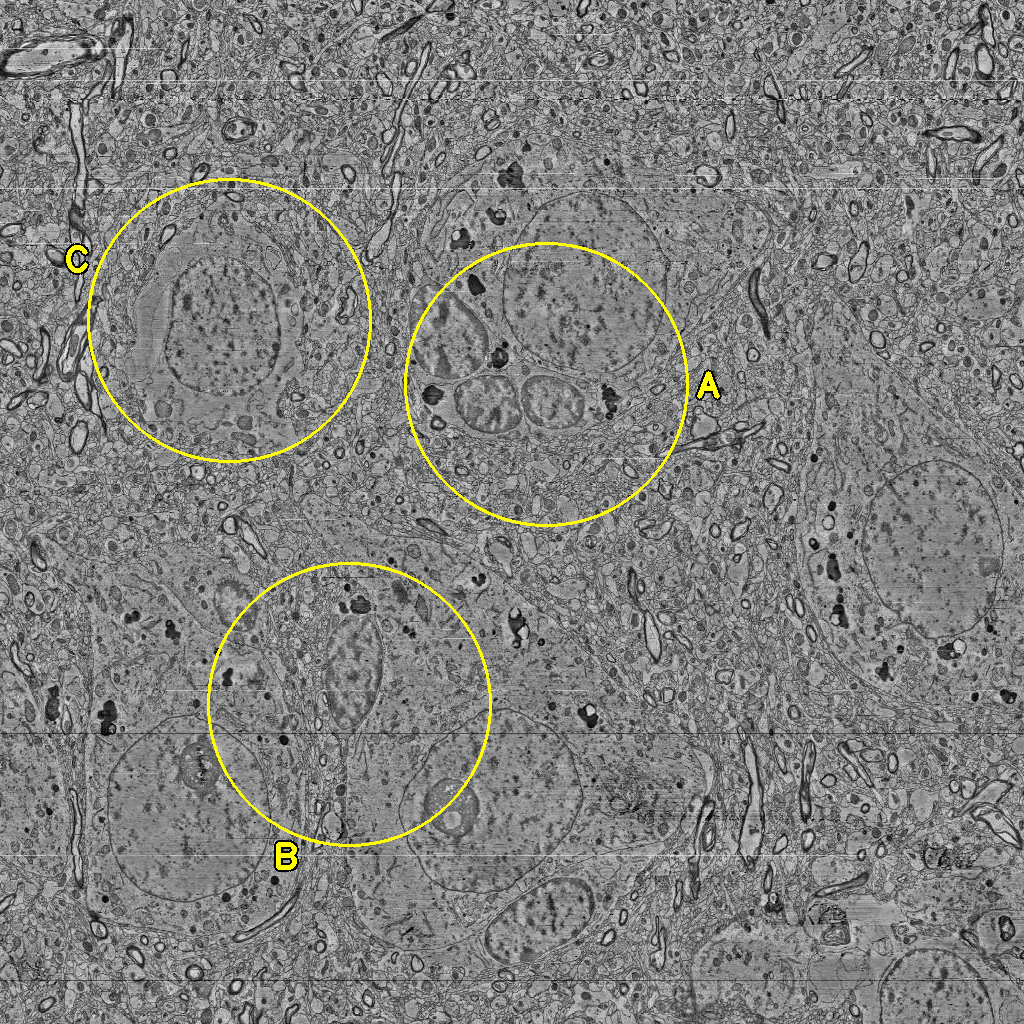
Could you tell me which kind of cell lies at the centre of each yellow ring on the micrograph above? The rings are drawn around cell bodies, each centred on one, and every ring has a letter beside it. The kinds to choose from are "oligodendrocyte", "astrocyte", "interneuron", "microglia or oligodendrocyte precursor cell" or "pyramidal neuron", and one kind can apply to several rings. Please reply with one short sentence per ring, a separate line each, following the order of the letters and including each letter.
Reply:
Ring A circles an oligodendrocyte.
Ring B circles an oligodendrocyte.
Ring C circles an astrocyte.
